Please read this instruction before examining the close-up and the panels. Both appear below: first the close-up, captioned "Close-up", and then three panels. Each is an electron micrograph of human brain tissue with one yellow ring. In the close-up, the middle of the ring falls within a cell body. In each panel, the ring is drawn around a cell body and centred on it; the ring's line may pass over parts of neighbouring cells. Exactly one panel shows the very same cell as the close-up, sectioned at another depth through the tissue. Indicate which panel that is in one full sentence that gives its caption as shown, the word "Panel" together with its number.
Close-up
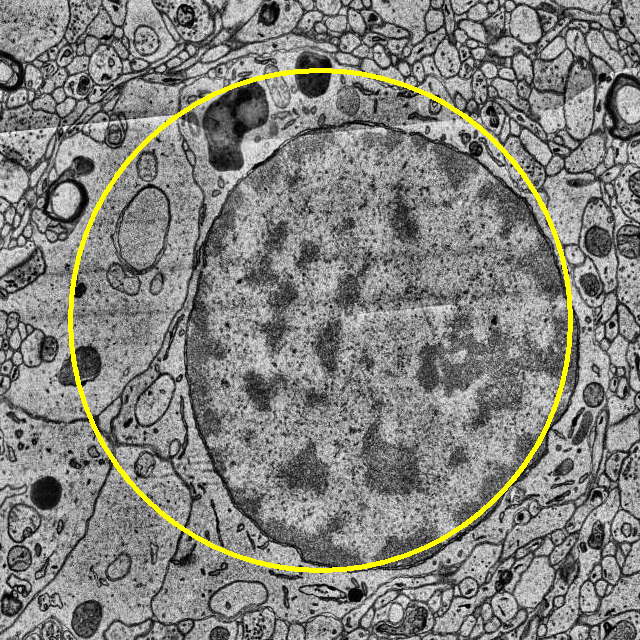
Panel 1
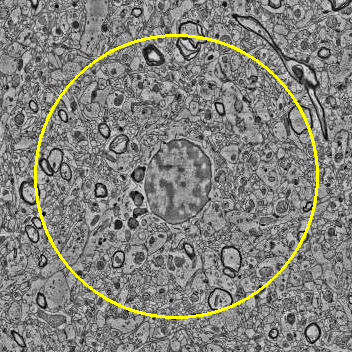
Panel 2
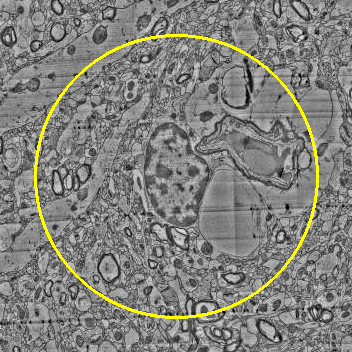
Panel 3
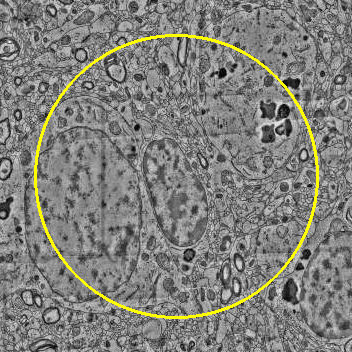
The cell under magnification is the ringed one in Panel 1.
